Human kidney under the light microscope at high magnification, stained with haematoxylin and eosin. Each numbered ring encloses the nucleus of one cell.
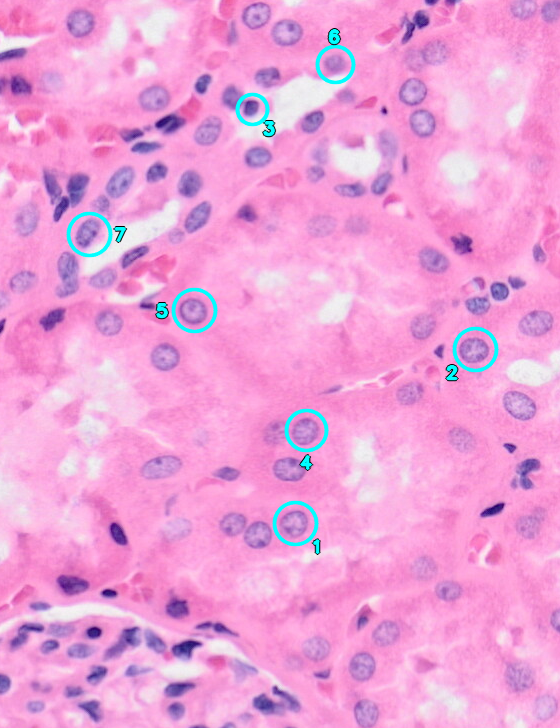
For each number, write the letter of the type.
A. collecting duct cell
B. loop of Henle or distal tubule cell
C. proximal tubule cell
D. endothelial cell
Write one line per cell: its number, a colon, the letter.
1: C
2: C
3: B
4: C
5: C
6: B
7: A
